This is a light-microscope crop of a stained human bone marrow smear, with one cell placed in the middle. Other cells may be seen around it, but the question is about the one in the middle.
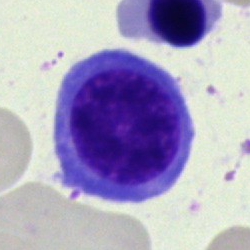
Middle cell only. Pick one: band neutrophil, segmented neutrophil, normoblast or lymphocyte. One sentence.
The cell sitting right in the middle is a normoblast.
